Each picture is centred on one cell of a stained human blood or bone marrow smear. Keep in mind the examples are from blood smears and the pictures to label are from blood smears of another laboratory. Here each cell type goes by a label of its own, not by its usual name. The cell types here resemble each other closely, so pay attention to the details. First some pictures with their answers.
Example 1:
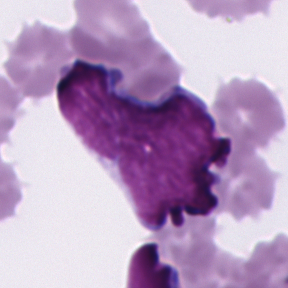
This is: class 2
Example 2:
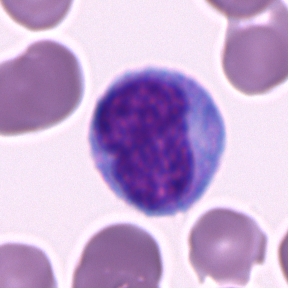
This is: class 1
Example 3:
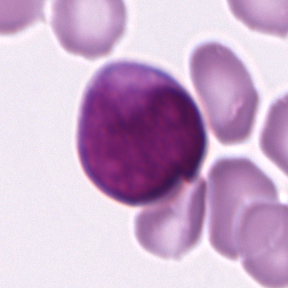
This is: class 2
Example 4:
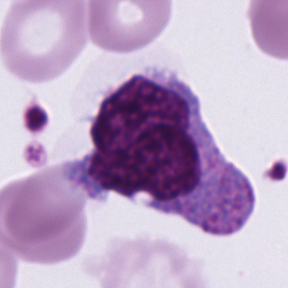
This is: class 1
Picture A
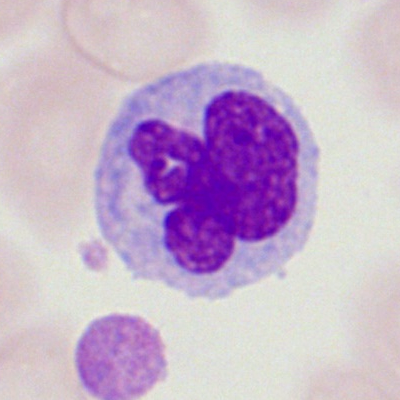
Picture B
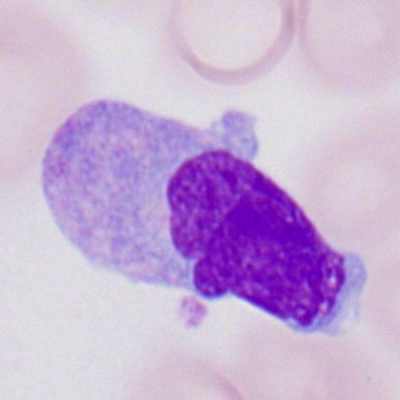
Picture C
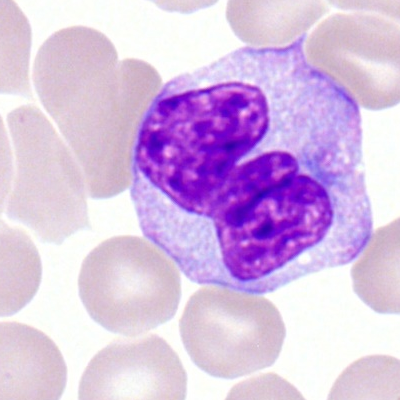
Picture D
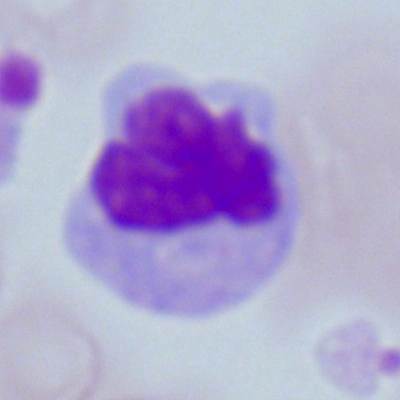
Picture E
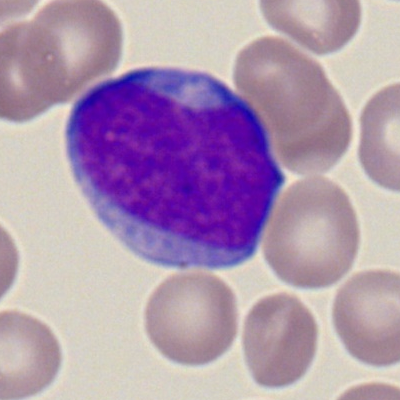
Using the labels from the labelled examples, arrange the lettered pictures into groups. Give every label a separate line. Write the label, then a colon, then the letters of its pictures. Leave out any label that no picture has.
class 2: E
class 1: A, B, C, D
